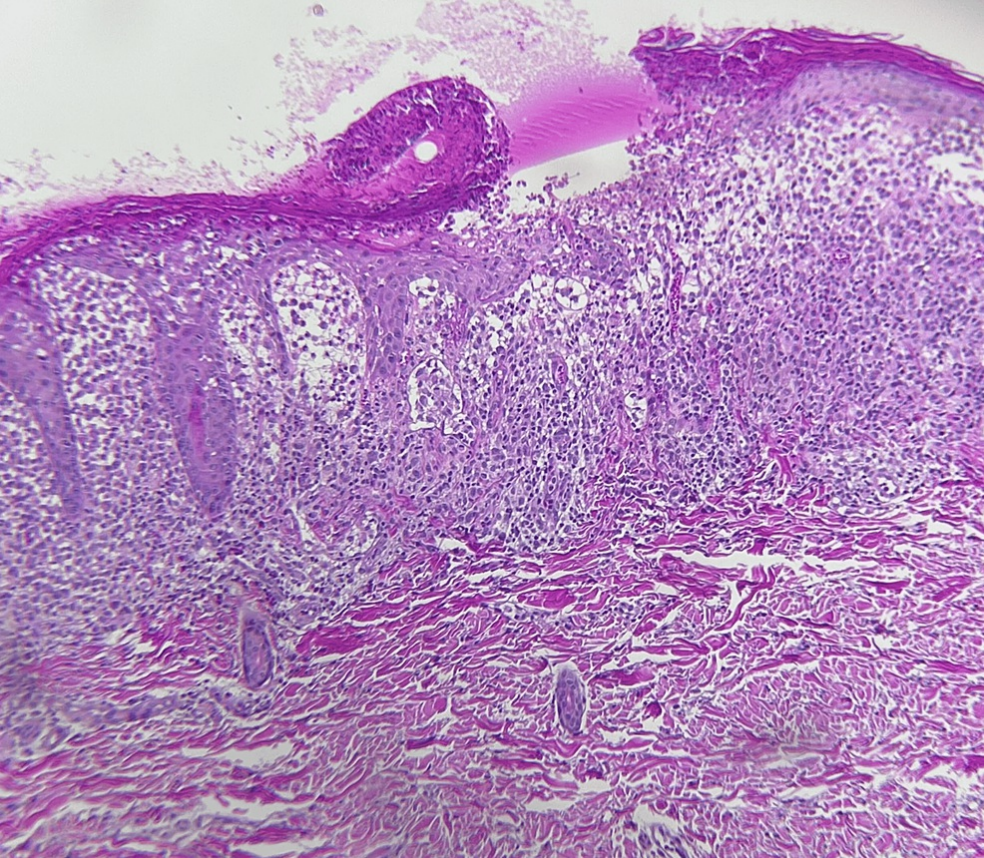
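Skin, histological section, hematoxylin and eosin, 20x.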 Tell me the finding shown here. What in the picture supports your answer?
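Inflammatory cell infiltrate. Dense sheets of small, round, dark-nucleated cells fill the upper dermis. Similar small round cells lie within the epidermis between the epithelial cells. Deeper dermis shows pink collagen bundles with far fewer cells.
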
